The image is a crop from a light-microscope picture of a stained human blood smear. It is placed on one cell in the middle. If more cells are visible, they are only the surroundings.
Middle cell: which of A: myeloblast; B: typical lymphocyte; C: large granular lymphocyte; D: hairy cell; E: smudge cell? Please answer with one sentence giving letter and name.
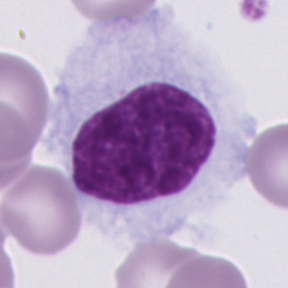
The middle of the crop contains a hairy cell, so option D is right.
